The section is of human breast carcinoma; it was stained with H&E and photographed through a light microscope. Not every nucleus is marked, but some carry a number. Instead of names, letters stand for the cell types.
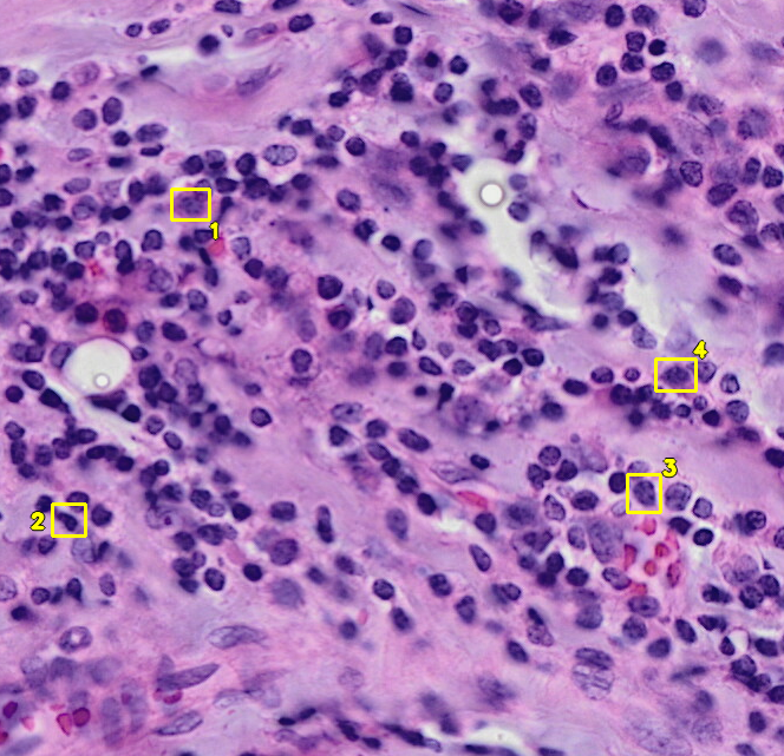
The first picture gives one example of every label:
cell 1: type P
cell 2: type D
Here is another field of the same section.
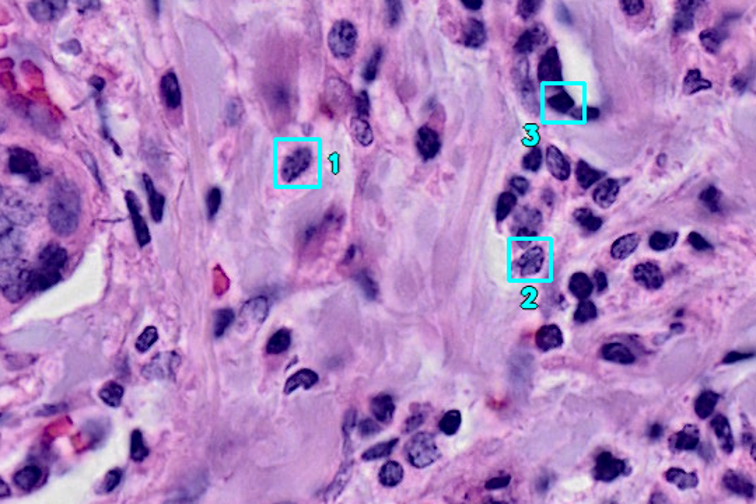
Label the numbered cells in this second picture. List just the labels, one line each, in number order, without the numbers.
type P
type D
type D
